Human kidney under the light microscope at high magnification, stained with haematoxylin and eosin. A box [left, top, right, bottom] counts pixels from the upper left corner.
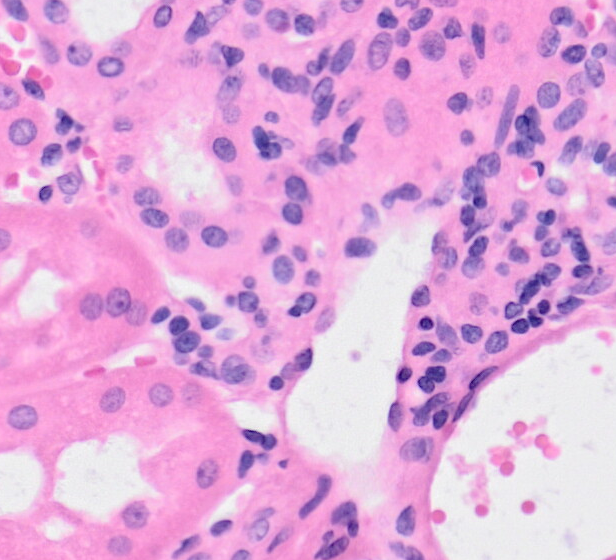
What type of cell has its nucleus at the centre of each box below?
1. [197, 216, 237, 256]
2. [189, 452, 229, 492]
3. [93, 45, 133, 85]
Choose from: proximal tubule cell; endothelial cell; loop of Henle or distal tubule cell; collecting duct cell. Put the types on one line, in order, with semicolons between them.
collecting duct cell; proximal tubule cell; collecting duct cell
